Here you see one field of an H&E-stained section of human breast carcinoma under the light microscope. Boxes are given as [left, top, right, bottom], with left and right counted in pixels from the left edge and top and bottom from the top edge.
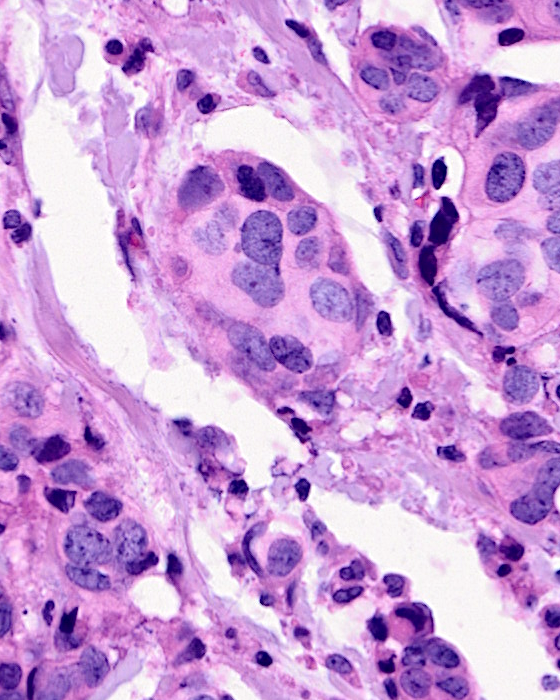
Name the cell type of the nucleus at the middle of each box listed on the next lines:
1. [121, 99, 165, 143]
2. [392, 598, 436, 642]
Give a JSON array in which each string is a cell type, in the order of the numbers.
["fibroblast", "carcinoma cell"]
